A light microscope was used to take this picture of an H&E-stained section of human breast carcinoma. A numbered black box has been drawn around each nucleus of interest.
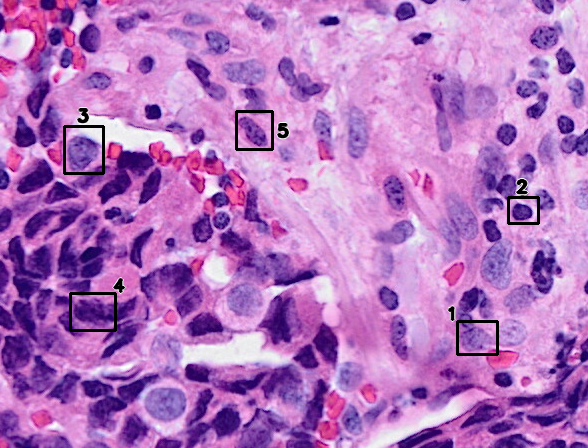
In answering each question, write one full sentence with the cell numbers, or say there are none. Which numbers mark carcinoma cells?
Cells 3 and 4 share one type; they are carcinoma cells.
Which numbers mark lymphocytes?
The one cell that is a lymphocyte is cell 2, and no other.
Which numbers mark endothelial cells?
Only nucleus 1 belongs to an endothelial cell; the other numbered nuclei do not.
